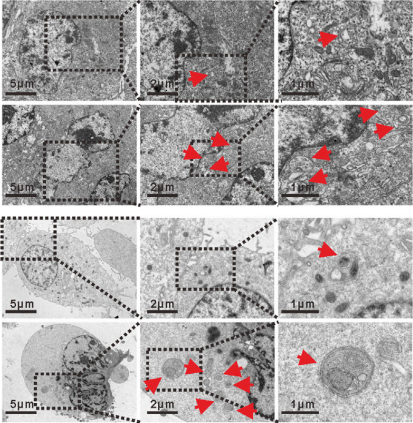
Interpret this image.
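At low magnification whole cells are seen, each with a large nucleus surrounded by cytoplasm. In the enlarged views the cytoplasm holds round membrane-bounded vesicles, marked by red arrows, that contain dense material. In some rows such vesicles are numerous.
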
